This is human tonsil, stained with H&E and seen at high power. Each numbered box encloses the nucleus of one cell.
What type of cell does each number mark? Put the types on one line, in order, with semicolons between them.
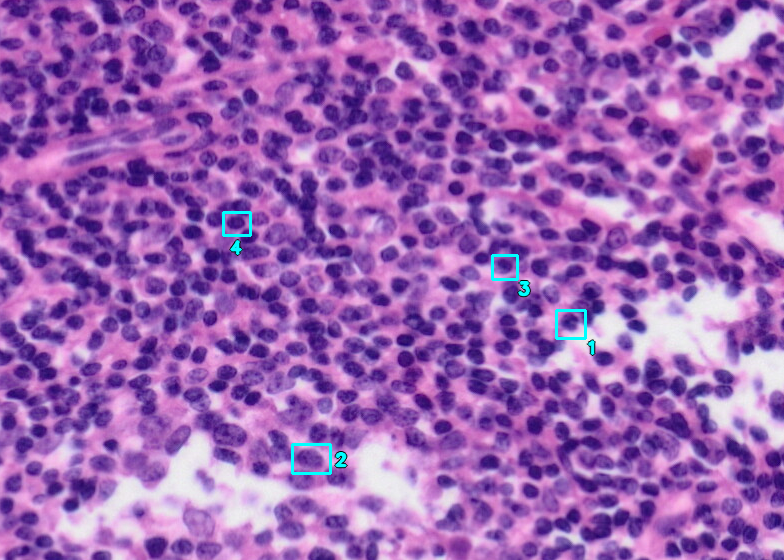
small lymphocyte; proliferating B cell; small lymphocyte; small lymphocyte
